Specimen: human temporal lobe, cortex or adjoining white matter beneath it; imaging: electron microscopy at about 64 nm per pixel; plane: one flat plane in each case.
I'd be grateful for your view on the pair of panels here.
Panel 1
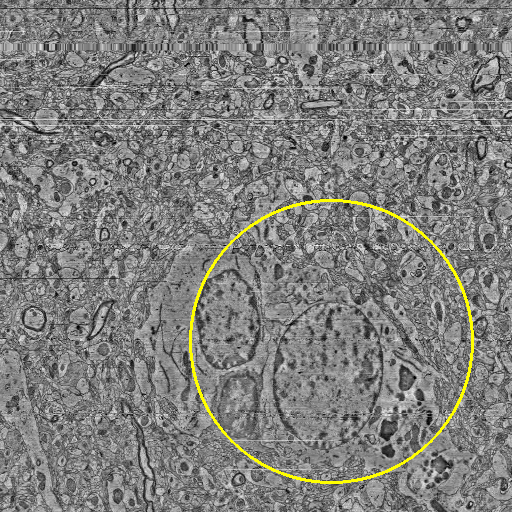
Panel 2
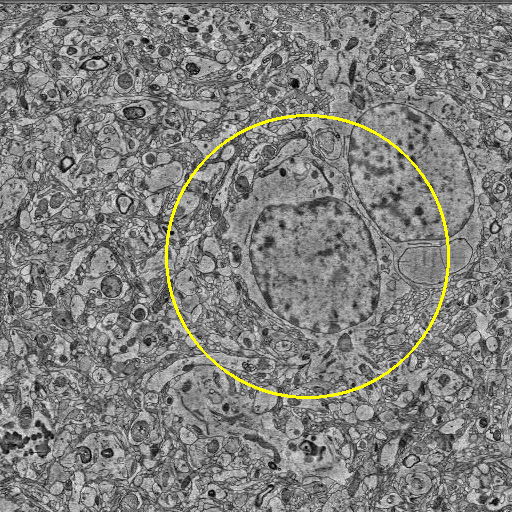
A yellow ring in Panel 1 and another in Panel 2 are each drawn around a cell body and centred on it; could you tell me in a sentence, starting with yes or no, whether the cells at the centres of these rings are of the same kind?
Yes, they are the same kind of cell.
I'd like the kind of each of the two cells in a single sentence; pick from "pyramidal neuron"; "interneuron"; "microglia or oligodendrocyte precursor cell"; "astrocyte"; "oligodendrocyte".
The first and the second cell are each an astrocyte.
